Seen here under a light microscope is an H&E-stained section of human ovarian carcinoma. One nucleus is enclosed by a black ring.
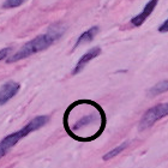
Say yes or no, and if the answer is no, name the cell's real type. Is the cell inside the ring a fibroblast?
No, it is a smooth muscle cell.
